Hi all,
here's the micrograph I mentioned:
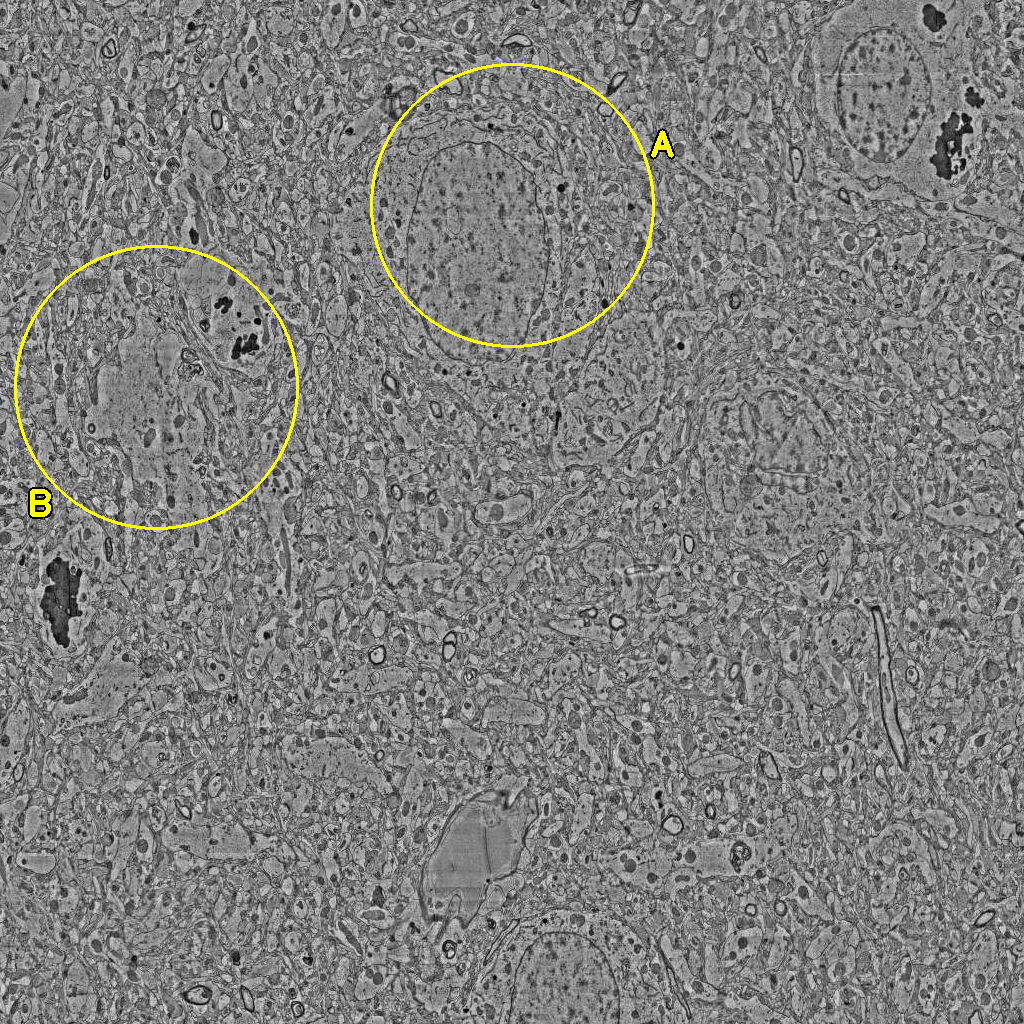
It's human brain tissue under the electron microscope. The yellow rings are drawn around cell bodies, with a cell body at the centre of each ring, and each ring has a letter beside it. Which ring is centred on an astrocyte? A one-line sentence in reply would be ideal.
It's the one labelled B.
